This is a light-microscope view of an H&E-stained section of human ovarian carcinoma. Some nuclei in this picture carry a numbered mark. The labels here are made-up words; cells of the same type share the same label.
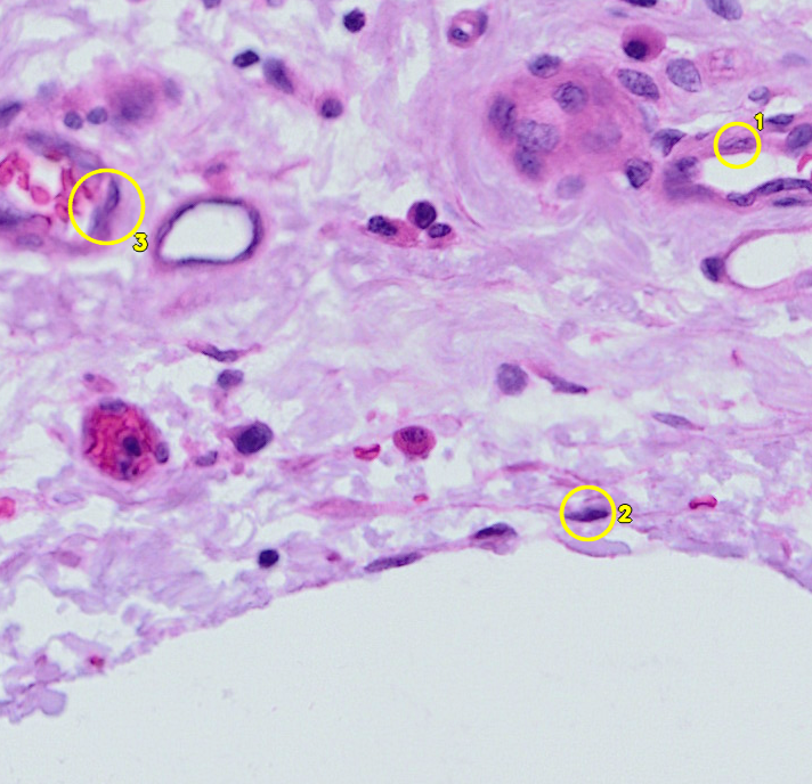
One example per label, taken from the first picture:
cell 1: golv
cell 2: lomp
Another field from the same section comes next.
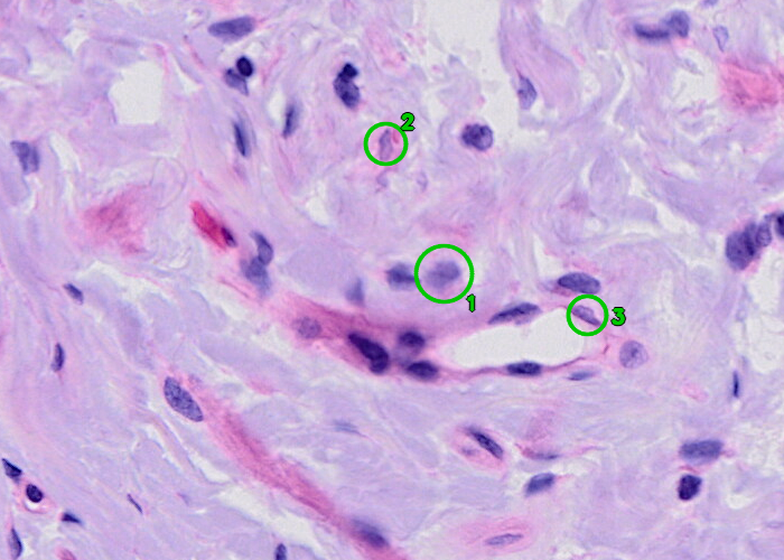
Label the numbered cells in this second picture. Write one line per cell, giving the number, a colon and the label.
1: lomp
2: golv
3: golv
